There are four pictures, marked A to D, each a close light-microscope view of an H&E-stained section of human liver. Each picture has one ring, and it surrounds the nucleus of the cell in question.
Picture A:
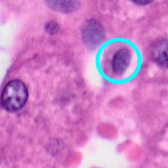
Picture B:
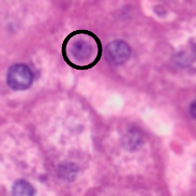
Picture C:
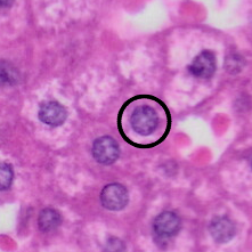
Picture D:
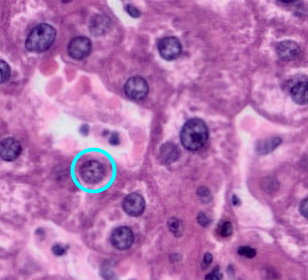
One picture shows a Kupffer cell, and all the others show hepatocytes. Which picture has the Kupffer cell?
A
